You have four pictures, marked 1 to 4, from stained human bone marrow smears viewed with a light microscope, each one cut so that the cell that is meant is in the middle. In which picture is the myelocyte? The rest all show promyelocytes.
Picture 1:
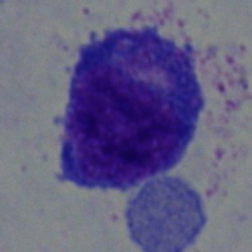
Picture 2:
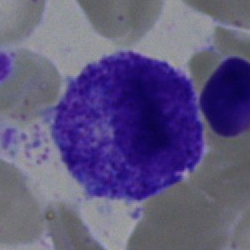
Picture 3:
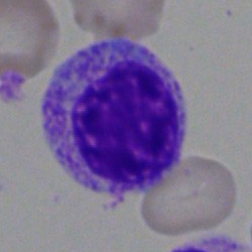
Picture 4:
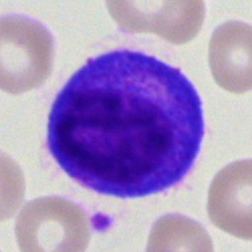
3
